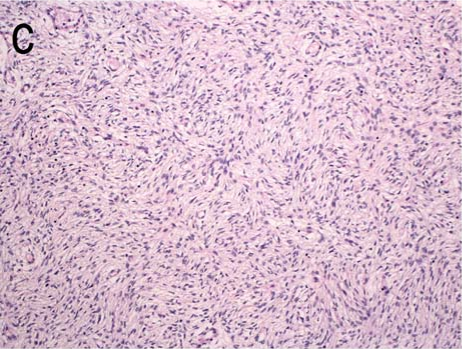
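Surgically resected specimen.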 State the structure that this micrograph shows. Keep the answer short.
Cartwheel pattern.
